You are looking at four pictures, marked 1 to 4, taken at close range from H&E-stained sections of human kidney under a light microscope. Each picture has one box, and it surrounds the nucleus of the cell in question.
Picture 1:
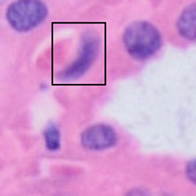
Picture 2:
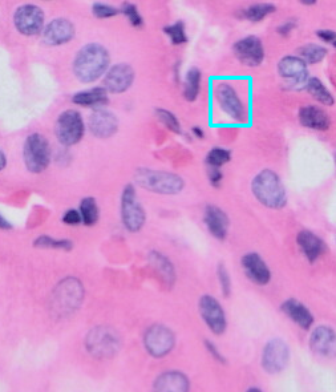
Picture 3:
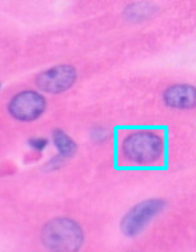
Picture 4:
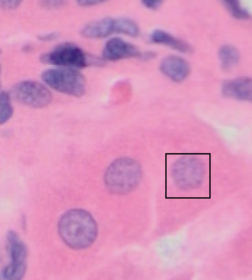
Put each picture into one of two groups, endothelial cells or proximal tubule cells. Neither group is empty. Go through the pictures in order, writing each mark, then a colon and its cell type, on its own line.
1: endothelial cell
2: endothelial cell
3: proximal tubule cell
4: proximal tubule cell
